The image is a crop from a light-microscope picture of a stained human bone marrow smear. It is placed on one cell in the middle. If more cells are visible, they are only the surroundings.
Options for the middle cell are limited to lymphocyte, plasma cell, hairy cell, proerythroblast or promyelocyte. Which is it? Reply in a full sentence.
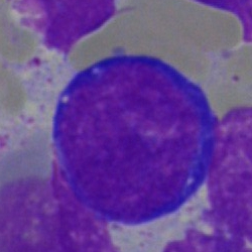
Located at the centre of the crop is a proerythroblast.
